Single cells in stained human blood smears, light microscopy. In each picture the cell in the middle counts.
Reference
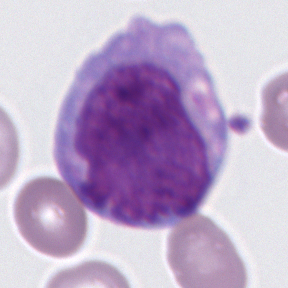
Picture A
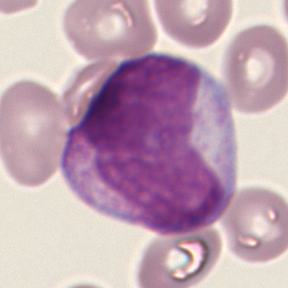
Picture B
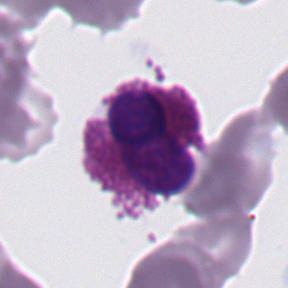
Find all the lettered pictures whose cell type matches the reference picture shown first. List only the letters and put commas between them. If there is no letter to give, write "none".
A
